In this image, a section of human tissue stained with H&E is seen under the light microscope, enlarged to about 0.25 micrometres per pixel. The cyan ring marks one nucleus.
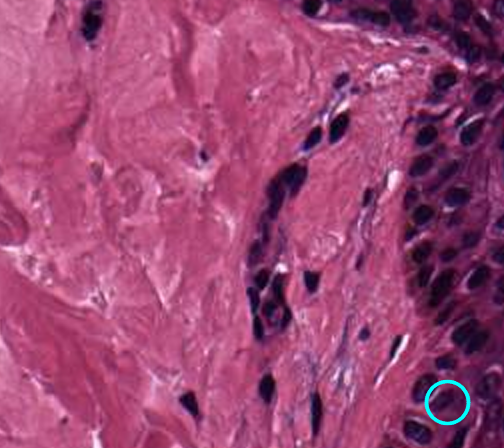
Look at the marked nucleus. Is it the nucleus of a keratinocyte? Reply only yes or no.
yes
